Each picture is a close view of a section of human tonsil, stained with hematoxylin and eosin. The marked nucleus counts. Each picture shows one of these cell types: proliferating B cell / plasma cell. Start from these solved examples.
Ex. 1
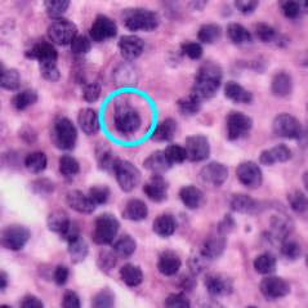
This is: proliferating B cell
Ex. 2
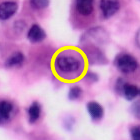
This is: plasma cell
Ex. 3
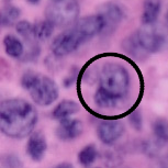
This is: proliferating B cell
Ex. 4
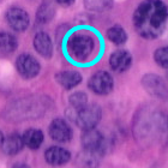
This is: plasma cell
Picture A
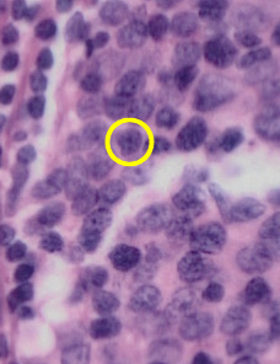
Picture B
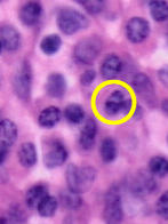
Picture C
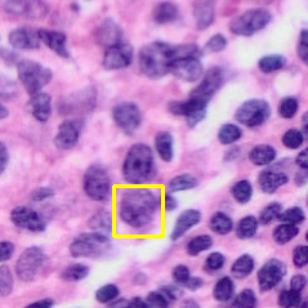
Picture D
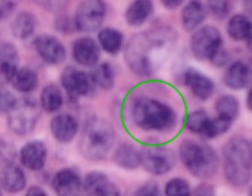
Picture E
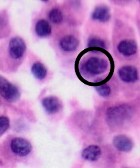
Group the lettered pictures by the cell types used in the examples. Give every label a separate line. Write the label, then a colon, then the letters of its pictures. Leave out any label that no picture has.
proliferating B cell: A, C, D
plasma cell: B, E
